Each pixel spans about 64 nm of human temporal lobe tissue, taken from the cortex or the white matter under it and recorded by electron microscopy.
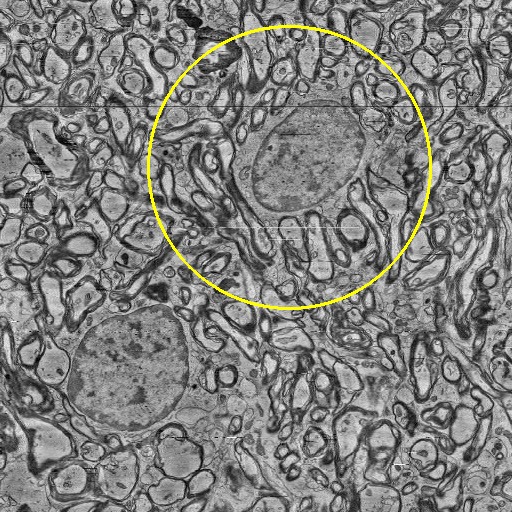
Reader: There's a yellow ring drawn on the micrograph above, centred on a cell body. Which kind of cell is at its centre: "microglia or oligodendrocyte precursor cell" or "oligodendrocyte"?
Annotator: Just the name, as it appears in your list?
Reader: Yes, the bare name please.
oligodendrocyte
